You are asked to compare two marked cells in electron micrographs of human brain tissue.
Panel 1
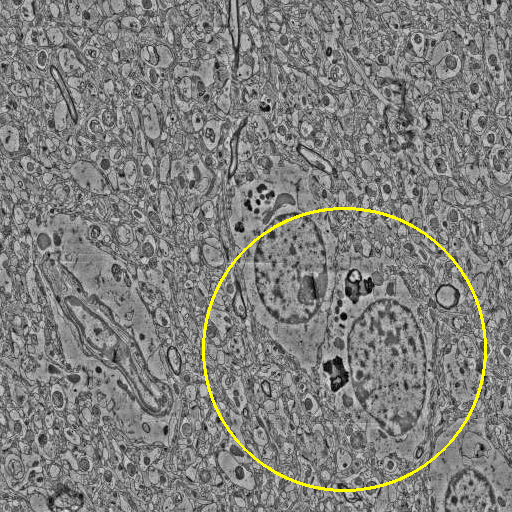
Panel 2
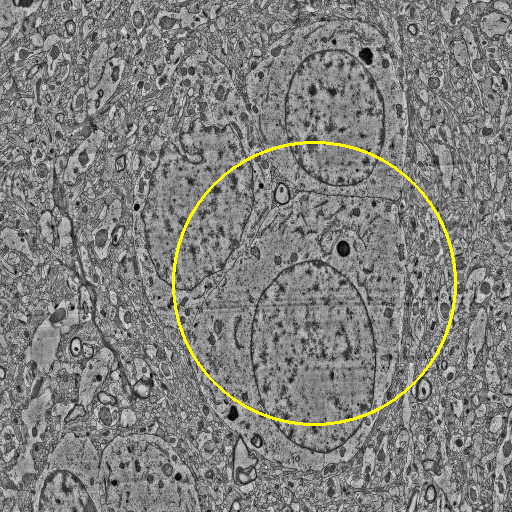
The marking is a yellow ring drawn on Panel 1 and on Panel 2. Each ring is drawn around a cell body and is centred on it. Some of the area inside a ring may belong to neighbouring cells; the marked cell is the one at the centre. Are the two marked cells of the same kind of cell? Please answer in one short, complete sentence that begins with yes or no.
No, the two marked cells are of two kinds.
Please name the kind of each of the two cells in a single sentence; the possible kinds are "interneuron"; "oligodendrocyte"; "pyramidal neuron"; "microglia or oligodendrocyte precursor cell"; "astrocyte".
In the first picture the ring is centred on an astrocyte, and in the second on a pyramidal neuron.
